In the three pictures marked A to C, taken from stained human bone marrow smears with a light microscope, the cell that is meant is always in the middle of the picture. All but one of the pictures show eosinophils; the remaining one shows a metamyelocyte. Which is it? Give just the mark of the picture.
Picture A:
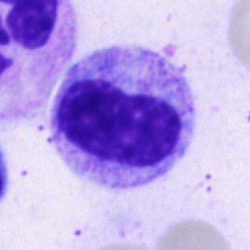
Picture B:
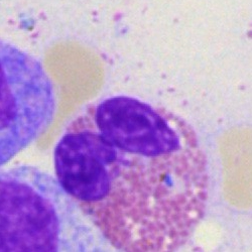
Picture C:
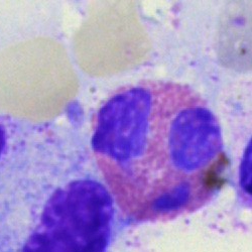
A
